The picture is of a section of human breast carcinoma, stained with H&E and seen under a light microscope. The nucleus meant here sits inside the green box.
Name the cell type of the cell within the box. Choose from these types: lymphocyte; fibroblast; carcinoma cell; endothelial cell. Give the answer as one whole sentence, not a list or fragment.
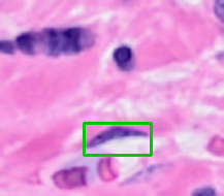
So far as cell type goes, the cell within the box is an endothelial cell.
